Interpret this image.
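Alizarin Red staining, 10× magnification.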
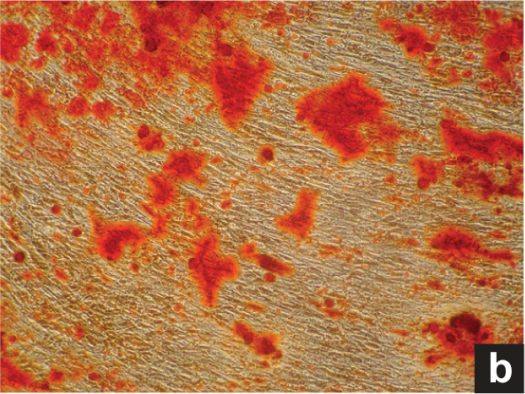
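Beneath and between these patches the cells form a dense sheet of elongated, spindle-shaped cells lying roughly parallel, pale beige and unstained. The red deposits vary greatly in size, from small round dots to large blotchy clumps with ragged edges, and they are opaque enough to hide the cells under them. Their shapes do not follow single cell outlines, so they are matter laid down on the layer rather than stained cells themselves.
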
